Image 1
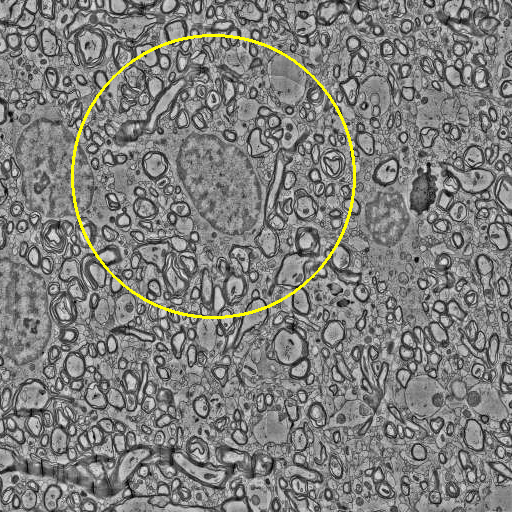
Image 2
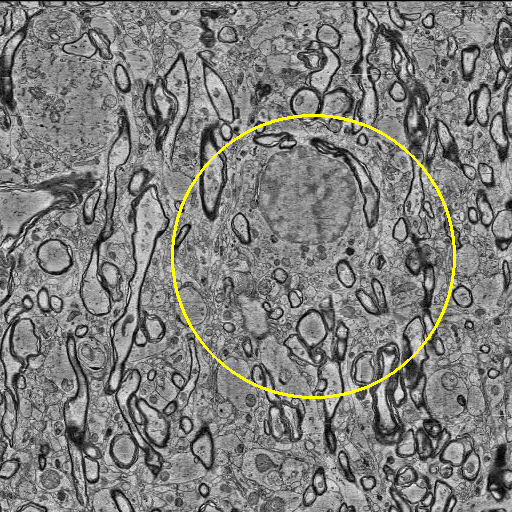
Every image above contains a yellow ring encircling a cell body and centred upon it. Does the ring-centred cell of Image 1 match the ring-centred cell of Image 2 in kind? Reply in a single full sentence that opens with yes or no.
Yes, the cell at the ring's centre in Image 1 is the same kind as that in Image 2.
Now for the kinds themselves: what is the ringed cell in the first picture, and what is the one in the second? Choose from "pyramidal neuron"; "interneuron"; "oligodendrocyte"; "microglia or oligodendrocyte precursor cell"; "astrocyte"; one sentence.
The ring centre holds an oligodendrocyte in each of the two pictures.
